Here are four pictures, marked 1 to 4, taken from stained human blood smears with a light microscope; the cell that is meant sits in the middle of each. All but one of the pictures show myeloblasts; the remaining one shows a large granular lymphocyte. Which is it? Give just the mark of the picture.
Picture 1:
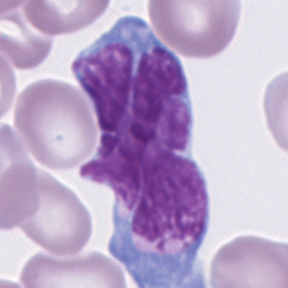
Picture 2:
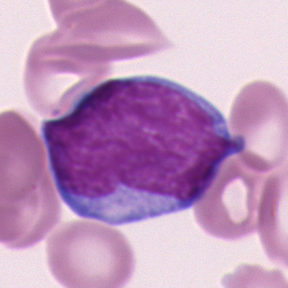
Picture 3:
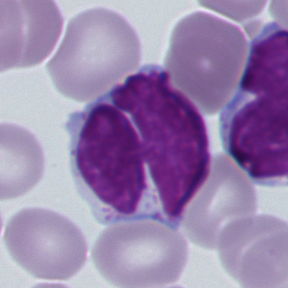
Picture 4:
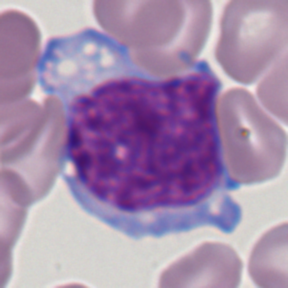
3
